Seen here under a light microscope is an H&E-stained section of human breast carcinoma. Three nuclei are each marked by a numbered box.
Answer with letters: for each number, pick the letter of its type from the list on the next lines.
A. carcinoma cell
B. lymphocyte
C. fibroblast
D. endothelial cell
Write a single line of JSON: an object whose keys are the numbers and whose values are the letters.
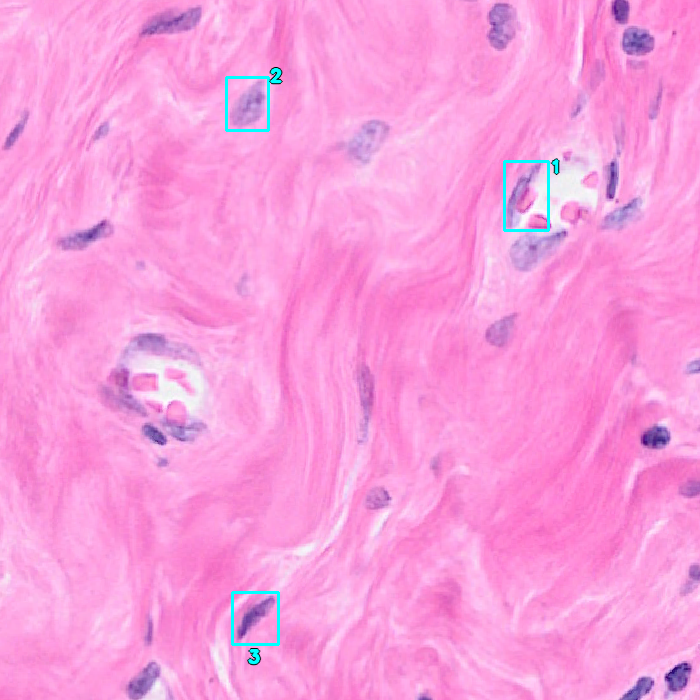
{"1": "D", "2": "C", "3": "C"}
